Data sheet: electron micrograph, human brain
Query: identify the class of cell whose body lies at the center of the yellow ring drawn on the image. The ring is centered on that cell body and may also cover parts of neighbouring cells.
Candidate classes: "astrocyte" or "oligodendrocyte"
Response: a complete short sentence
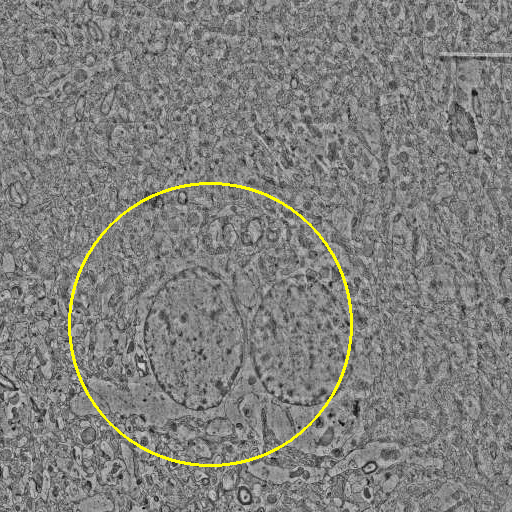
At the center of the ring lies an astrocyte.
